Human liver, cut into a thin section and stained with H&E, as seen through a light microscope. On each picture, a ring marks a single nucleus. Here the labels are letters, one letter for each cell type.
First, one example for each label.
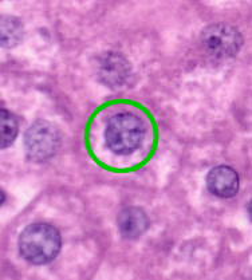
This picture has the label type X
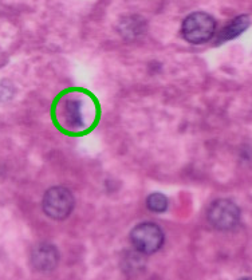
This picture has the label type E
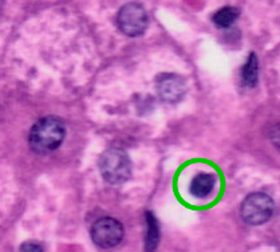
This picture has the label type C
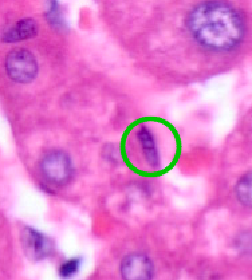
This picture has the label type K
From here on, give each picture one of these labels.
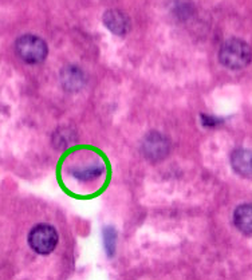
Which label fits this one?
type E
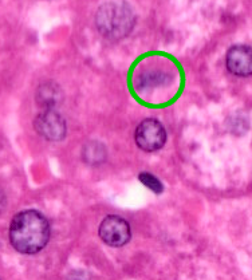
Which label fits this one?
type E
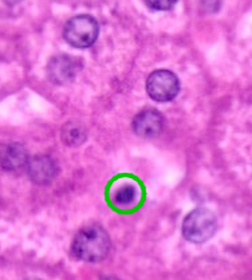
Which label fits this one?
type C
